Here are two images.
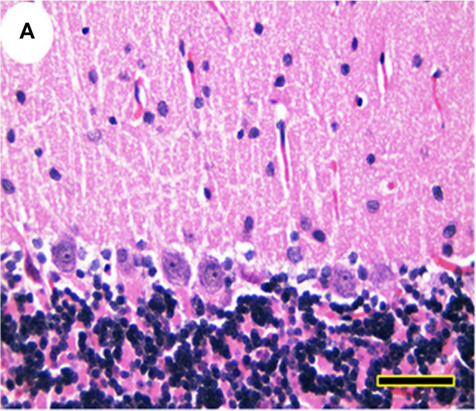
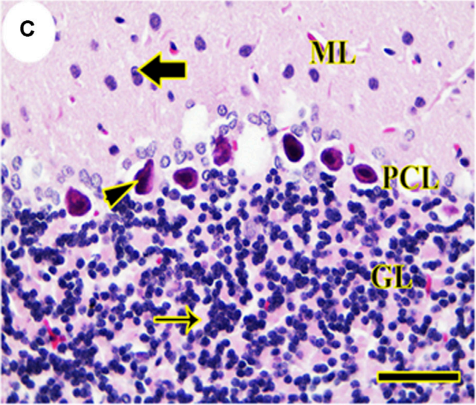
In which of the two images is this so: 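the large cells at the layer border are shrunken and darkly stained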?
The second image.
